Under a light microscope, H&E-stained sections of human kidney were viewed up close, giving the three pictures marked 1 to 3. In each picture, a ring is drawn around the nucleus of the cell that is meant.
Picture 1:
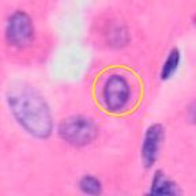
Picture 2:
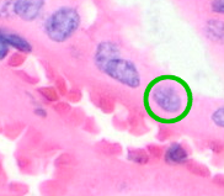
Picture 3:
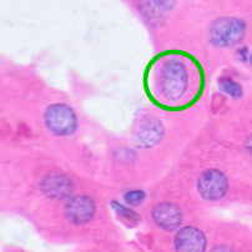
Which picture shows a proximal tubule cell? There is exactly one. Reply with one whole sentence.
The cell in picture 1 is the proximal tubule cell.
